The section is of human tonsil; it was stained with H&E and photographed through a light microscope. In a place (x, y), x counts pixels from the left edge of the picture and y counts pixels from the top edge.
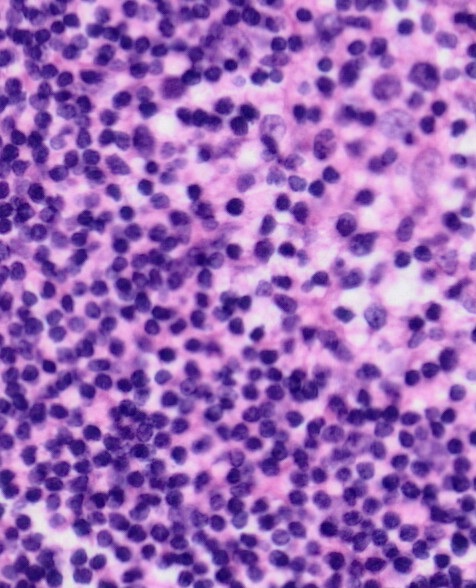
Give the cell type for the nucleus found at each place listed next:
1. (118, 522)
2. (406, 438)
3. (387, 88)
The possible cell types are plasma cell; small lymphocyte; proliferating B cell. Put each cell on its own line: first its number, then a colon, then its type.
1: small lymphocyte
2: small lymphocyte
3: proliferating B cell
